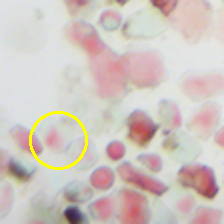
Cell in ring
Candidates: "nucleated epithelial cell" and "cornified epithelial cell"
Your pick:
nucleated epithelial cell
